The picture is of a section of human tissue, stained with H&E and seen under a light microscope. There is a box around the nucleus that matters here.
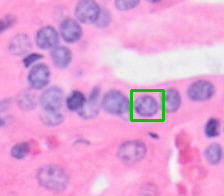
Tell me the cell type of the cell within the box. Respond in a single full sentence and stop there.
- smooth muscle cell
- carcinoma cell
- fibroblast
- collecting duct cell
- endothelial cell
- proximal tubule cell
In this section of tissue, the cell within the box is a collecting duct cell.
